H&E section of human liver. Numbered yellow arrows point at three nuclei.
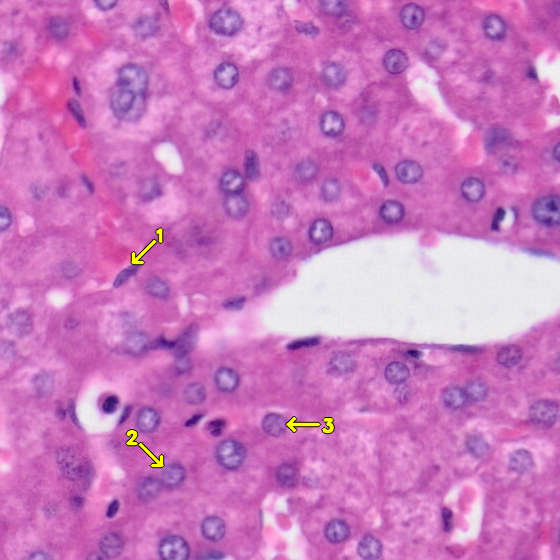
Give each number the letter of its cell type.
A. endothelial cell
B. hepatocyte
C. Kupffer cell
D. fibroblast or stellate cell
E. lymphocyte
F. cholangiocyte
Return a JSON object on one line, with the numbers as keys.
{"1": "A", "2": "B", "3": "B"}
